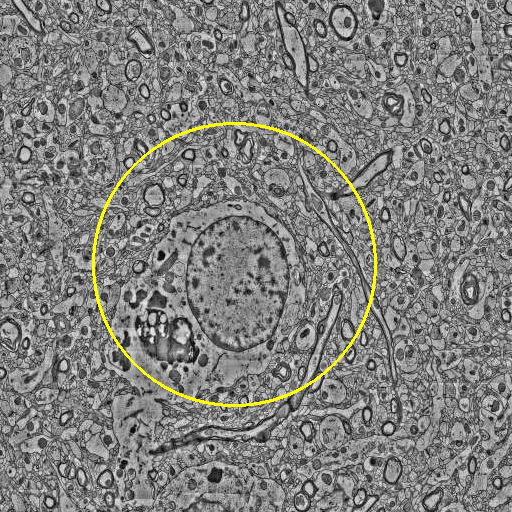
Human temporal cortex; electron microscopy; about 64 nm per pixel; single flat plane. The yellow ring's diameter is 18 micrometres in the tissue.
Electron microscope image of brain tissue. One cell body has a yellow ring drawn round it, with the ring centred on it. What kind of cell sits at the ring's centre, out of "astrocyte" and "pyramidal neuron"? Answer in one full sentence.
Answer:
It is an astrocyte whose cell body sits at the centre of the yellow ring.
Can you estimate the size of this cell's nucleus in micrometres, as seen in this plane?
The nucleus measures about 9 by 7 micrometres in this plane.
